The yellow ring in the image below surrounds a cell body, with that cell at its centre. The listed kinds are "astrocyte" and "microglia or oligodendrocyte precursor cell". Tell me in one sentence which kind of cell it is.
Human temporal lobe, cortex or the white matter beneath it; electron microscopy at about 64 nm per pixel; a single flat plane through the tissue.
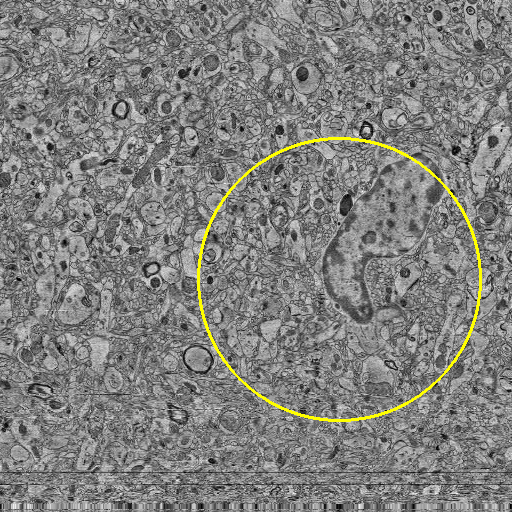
The centre of the ring holds a microglial cell or oligodendrocyte precursor cell.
